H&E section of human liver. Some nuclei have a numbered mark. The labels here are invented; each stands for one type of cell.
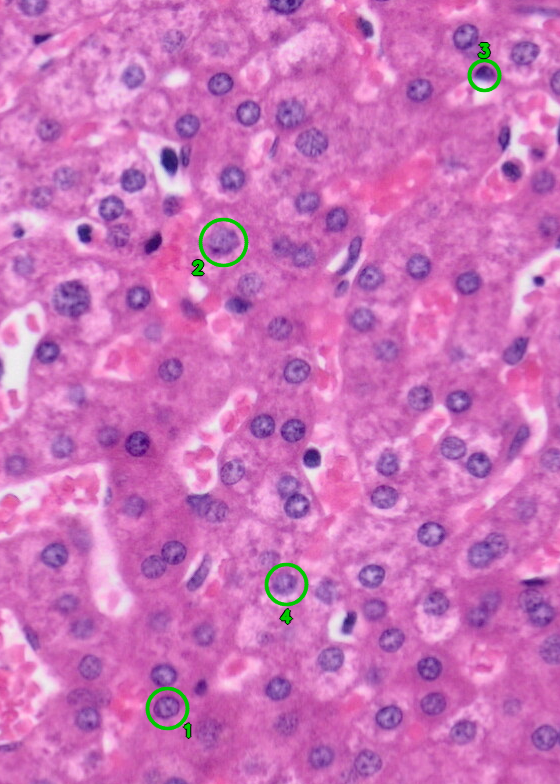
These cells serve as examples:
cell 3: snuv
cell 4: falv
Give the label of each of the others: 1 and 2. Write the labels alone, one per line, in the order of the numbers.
falv
falv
